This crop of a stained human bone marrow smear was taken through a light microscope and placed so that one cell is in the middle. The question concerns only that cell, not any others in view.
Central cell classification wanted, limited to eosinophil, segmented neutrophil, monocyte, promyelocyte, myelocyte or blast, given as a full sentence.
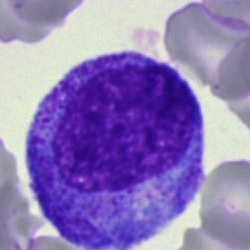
As for the cell in the middle, it is a promyelocyte.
